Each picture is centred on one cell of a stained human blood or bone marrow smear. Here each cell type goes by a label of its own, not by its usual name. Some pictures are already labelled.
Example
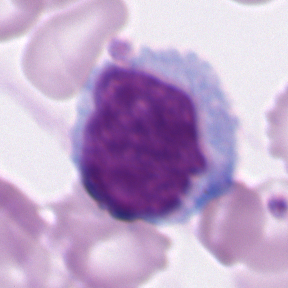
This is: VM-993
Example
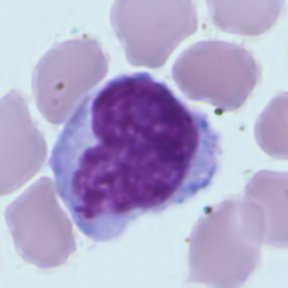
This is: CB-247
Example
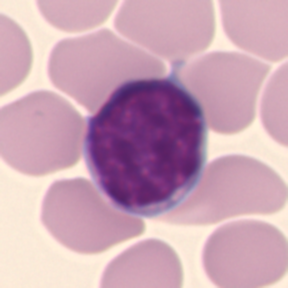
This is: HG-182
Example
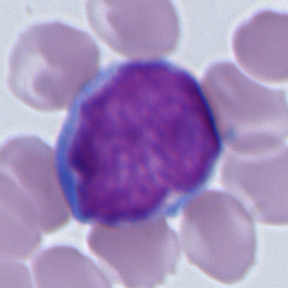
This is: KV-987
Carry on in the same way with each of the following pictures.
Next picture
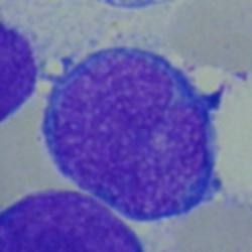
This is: KV-987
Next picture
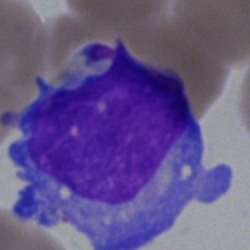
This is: KV-987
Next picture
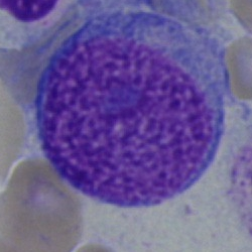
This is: KV-987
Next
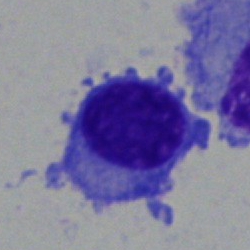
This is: CB-247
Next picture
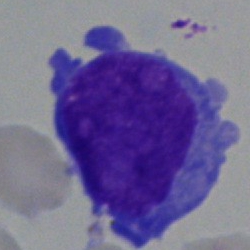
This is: KV-987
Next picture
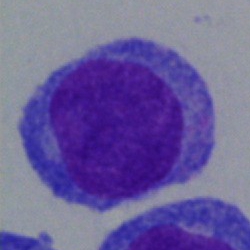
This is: KV-987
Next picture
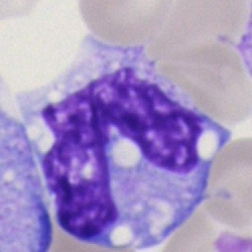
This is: VM-993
